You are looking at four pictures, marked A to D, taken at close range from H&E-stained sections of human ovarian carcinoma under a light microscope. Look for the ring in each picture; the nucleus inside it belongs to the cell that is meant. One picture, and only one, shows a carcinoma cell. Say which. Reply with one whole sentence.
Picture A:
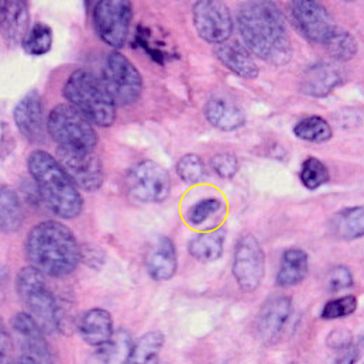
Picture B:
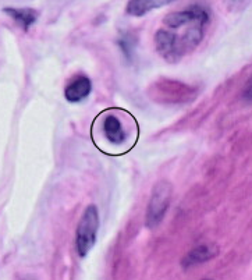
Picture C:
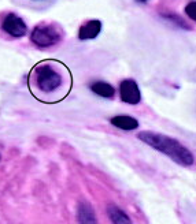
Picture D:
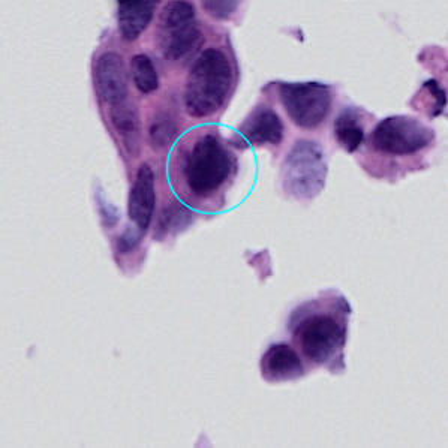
Picture D shows the carcinoma cell.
